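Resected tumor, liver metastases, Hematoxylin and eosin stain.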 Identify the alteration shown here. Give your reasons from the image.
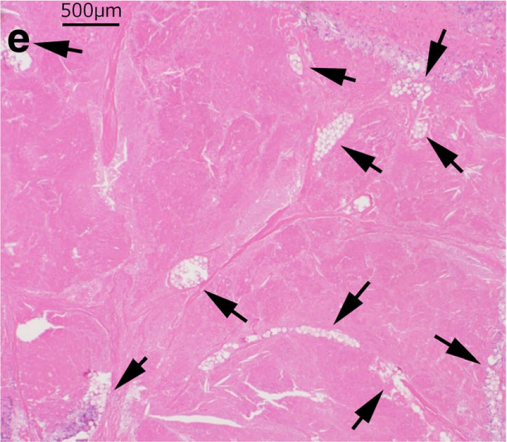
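Necrotic. The tissue is a mostly uniform pink, amorphous mass. Almost no purple-stained nuclei are visible across most of the field. Only faint streaks of fibrous structure remain.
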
